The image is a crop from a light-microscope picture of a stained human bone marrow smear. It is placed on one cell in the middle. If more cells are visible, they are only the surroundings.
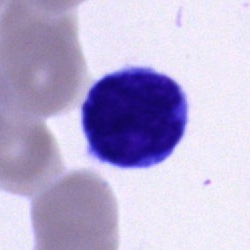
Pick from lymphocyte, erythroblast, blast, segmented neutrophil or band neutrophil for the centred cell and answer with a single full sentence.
As for the cell in the middle, it is a lymphocyte.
